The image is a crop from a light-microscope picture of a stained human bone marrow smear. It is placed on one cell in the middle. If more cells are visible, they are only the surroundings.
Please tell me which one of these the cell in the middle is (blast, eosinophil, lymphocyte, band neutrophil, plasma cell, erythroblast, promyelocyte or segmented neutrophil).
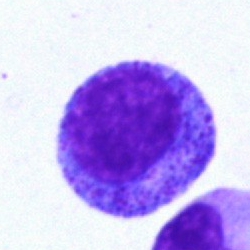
promyelocyte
